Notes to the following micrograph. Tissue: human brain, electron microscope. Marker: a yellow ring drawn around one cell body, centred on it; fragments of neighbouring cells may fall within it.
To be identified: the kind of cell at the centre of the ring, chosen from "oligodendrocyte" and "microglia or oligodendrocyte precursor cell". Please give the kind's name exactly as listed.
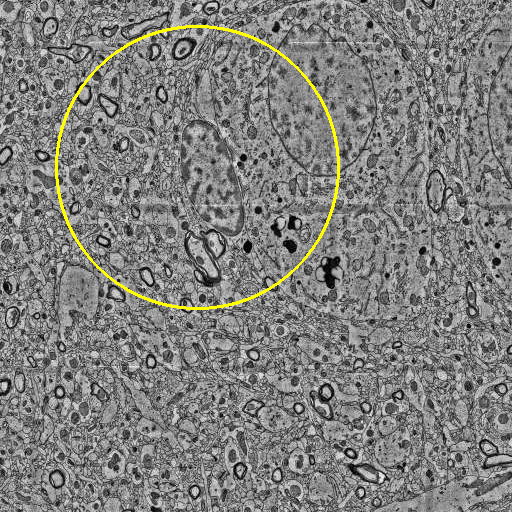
microglia or oligodendrocyte precursor cell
